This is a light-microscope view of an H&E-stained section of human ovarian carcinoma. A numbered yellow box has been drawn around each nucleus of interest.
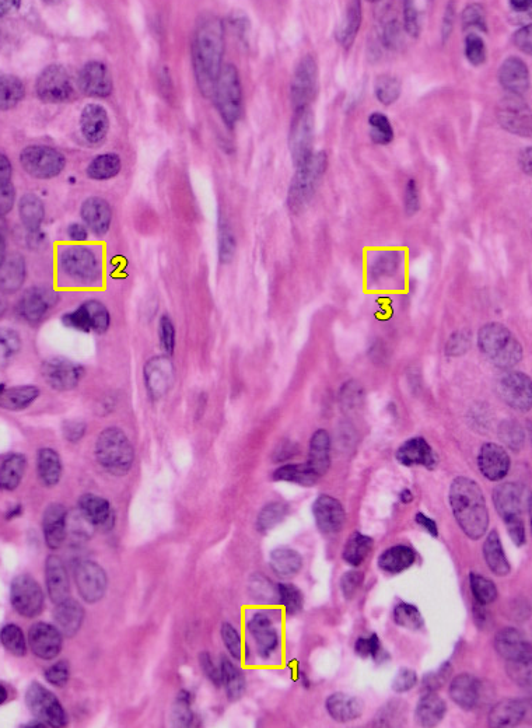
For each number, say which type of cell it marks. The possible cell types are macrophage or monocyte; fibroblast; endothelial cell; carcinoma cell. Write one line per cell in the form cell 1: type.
cell 1: macrophage or monocyte
cell 2: carcinoma cell
cell 3: fibroblast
